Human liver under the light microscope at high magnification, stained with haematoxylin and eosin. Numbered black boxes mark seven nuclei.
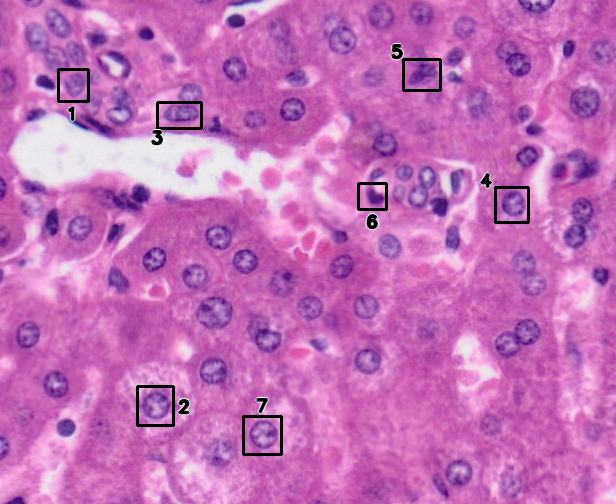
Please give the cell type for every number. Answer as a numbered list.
1. cholangiocyte
2. hepatocyte
3. cholangiocyte
4. hepatocyte
5. fibroblast or stellate cell
6. fibroblast or stellate cell
7. hepatocyte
